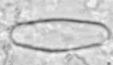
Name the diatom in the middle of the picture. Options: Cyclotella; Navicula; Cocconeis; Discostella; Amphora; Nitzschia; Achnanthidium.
Achnanthidium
